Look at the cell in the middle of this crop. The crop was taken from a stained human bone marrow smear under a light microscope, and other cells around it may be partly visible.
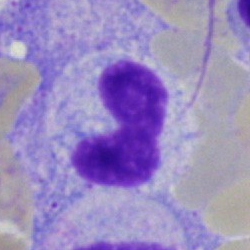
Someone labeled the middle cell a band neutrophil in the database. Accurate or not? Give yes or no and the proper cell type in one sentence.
Yes, the cell shown at the crop's centre is a band neutrophil.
